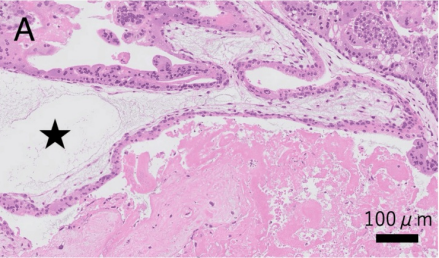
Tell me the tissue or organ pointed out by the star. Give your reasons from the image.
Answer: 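The star lies in a pale, loose, watery-looking stroma with few cells. The loose area is bordered by a thin epithelial lining.
Hence: edematous chorionic tissue.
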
